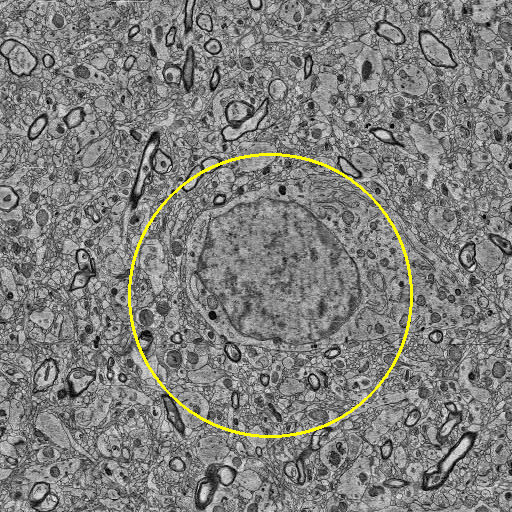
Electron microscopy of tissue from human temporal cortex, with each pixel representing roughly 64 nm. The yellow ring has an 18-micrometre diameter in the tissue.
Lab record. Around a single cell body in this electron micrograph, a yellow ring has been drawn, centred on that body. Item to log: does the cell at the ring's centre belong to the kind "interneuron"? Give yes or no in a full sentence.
Yes, in the micrograph, the ringed cell at the centre belongs to that kind.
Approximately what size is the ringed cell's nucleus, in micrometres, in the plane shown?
Roughly 11 by 9 micrometres in this plane, for the nucleus of the ringed cell.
